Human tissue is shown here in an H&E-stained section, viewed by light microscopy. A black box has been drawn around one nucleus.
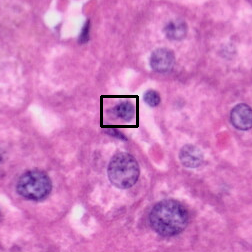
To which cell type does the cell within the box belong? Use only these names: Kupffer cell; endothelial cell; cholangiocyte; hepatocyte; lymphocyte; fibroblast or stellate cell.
Kupffer cell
